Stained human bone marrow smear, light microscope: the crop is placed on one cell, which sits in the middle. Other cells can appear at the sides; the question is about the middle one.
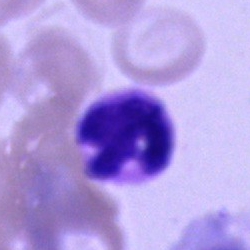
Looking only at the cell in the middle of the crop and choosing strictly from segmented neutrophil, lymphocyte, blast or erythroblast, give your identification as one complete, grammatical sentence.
The middle of this crop is occupied by a segmented neutrophil.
